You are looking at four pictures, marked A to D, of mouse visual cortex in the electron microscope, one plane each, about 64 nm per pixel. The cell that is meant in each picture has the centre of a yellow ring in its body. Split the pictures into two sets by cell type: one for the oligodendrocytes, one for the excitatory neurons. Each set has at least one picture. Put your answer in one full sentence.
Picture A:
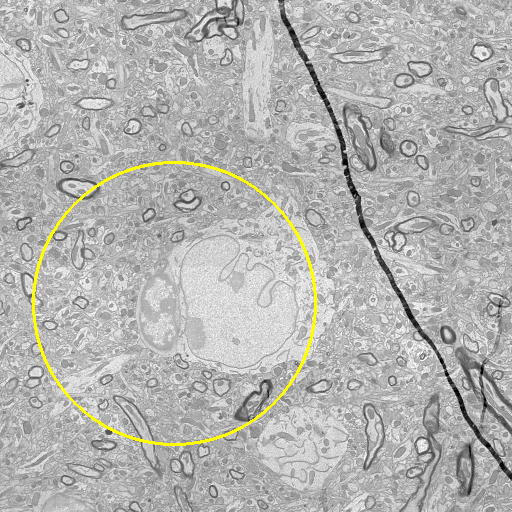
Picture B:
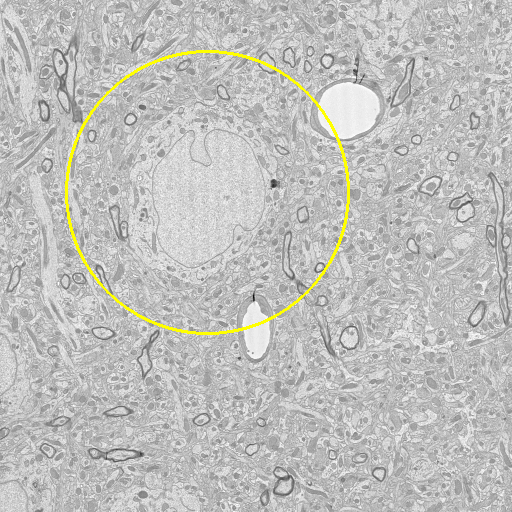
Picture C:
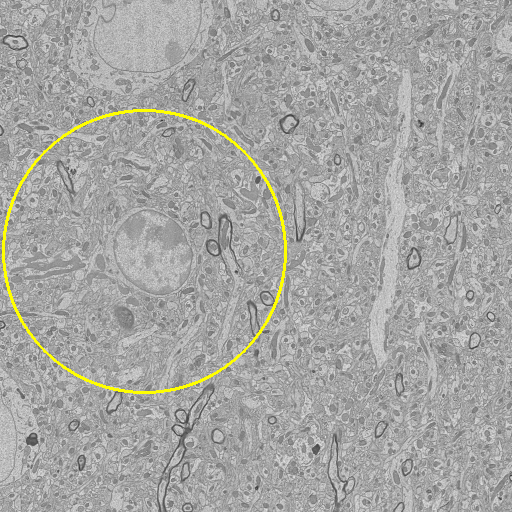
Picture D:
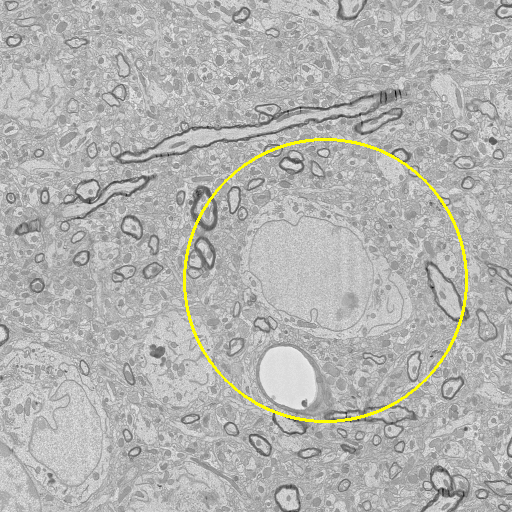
Pictures A and C show oligodendrocytes, and pictures B and D show excitatory neurons.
